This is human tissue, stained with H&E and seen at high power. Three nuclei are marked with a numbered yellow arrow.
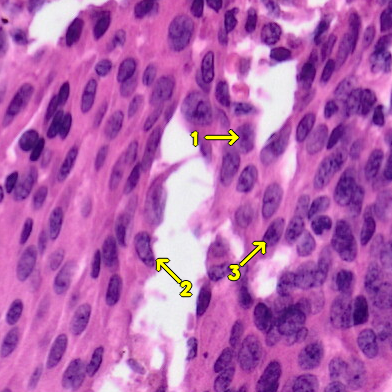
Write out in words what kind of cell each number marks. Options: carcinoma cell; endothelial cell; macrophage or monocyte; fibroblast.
Cell 1 is a carcinoma cell, cell 2 is a macrophage or monocyte and cell 3 is a carcinoma cell.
